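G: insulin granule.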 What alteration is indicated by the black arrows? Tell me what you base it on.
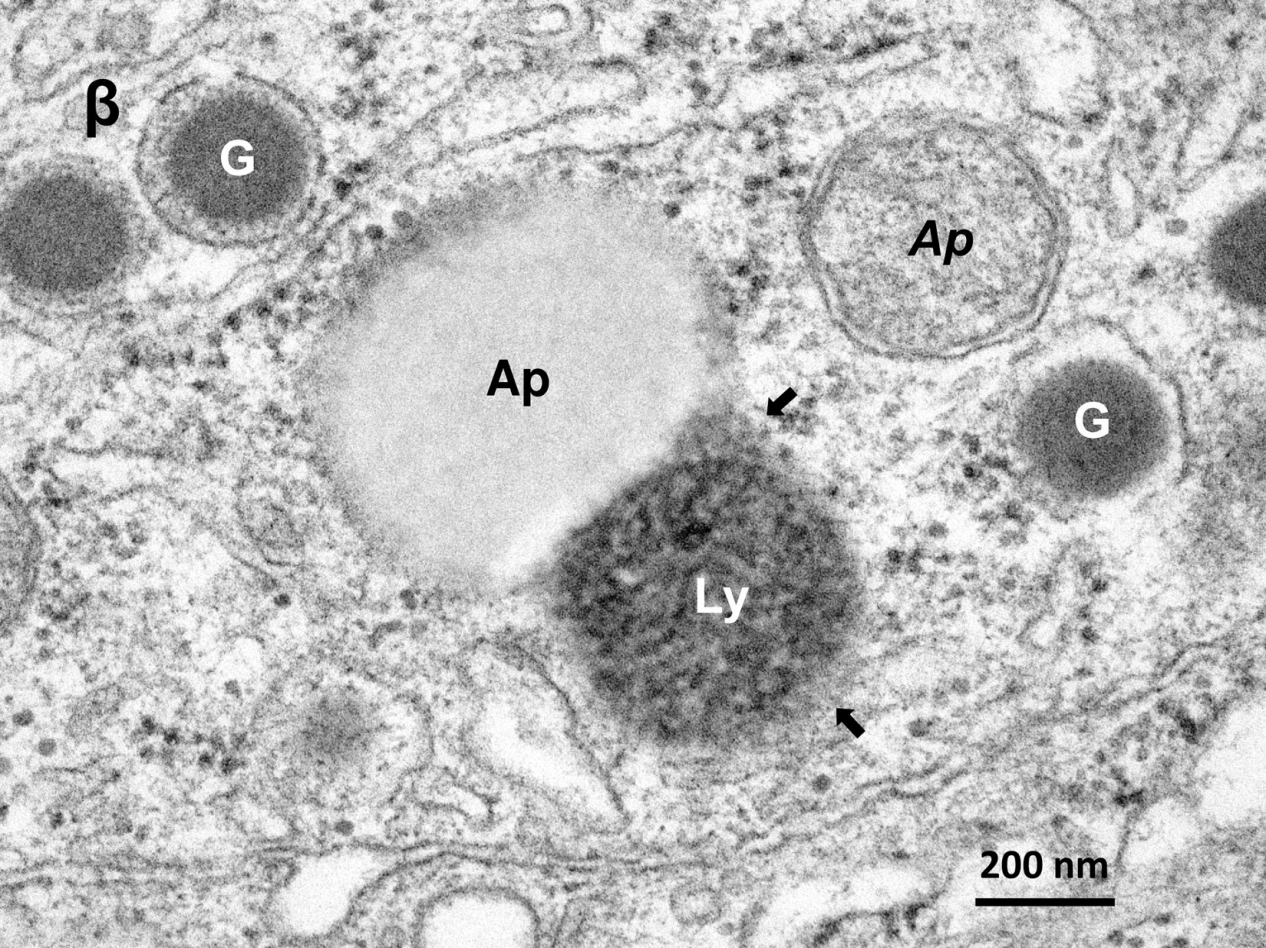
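The black arrows point at the edge of the dark, granular round organelle in the centre. At the arrowed edge the organelle's boundary is diffuse, with no crisp membrane line. That points to this answer: membrane permeabilization.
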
